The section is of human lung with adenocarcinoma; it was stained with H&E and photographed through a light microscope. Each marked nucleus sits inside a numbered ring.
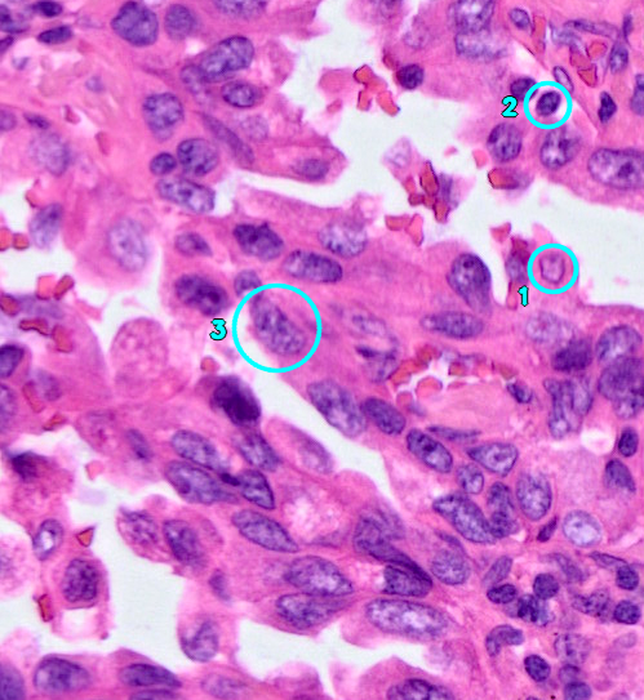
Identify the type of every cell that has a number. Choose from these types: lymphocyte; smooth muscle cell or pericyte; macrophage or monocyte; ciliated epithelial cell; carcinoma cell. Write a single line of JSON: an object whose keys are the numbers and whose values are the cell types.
{"1": "macrophage or monocyte", "2": "lymphocyte", "3": "carcinoma cell"}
